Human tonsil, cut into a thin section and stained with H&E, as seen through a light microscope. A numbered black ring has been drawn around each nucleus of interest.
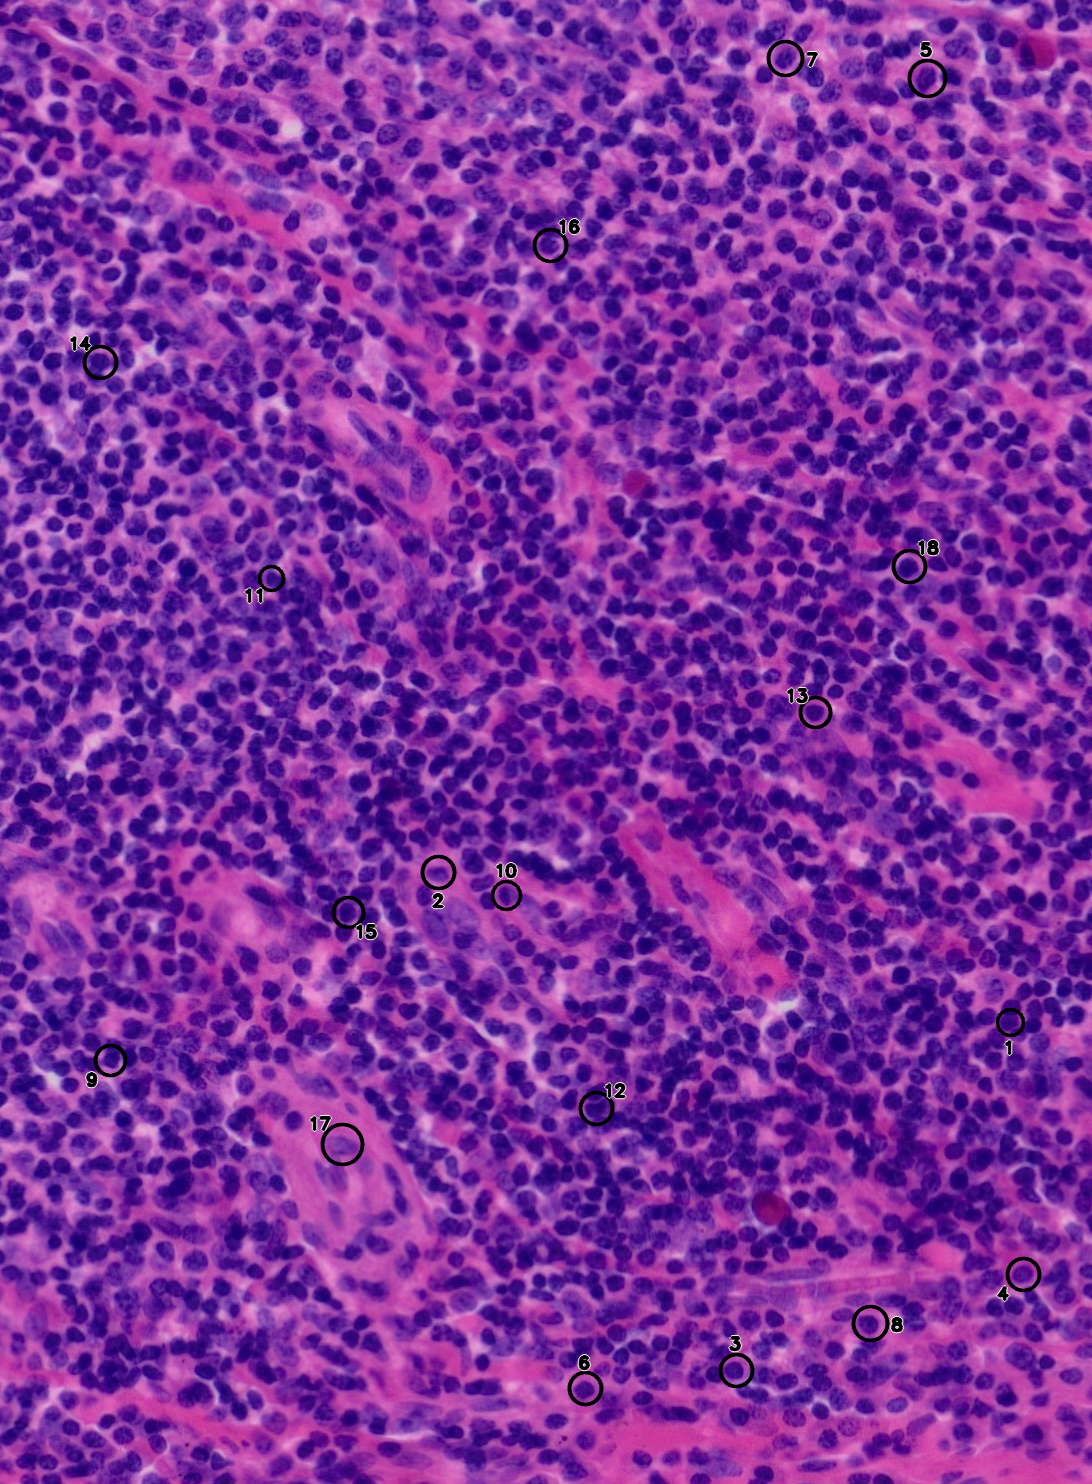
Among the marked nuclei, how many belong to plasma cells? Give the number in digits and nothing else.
6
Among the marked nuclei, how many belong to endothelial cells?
4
